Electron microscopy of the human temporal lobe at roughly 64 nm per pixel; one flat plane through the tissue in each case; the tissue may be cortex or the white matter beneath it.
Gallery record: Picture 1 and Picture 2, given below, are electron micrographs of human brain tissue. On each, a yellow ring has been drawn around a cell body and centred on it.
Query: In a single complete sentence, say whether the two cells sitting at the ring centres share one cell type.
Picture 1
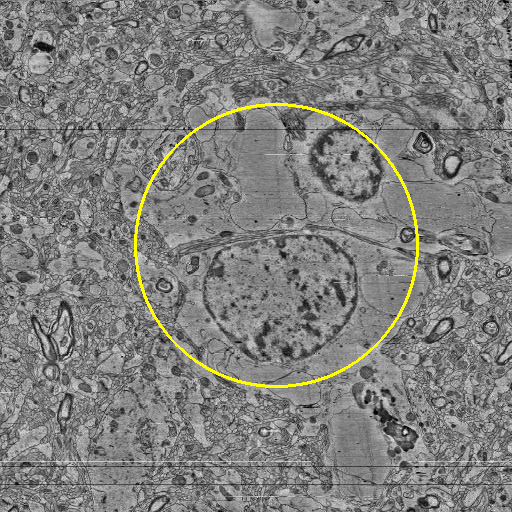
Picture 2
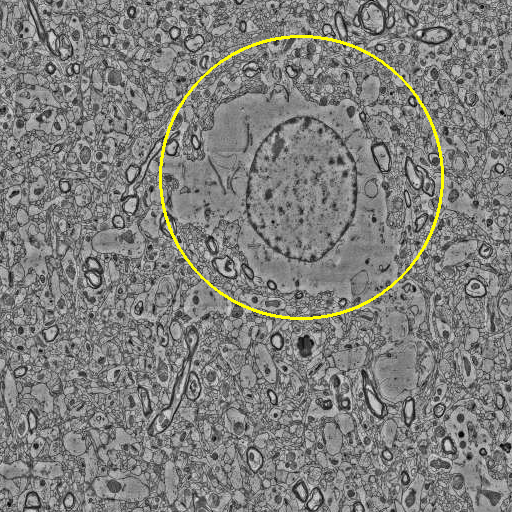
Yes, in both pictures the cell at the ring's centre is of one and the same type.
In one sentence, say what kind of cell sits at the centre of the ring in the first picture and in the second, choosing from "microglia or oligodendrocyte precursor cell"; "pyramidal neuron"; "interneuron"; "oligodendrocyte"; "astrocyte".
Each of the two rings is centred on an astrocyte.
